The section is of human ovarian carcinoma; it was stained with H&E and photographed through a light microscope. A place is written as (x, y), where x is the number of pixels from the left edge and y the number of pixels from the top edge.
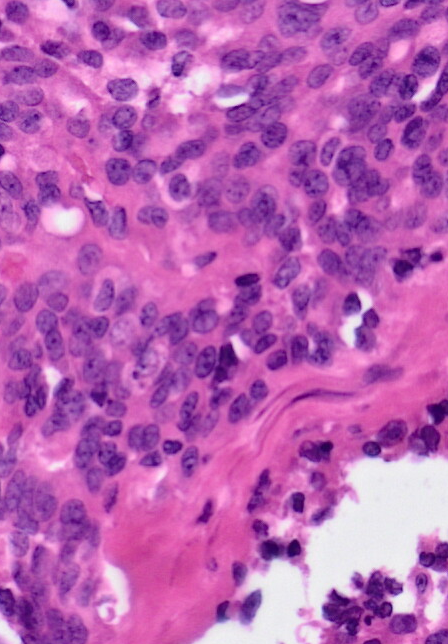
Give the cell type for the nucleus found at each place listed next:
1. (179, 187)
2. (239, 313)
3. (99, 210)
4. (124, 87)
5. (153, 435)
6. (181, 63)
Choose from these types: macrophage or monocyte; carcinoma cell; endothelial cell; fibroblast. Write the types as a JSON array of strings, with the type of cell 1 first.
["macrophage or monocyte", "carcinoma cell", "endothelial cell", "macrophage or monocyte", "carcinoma cell", "macrophage or monocyte"]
